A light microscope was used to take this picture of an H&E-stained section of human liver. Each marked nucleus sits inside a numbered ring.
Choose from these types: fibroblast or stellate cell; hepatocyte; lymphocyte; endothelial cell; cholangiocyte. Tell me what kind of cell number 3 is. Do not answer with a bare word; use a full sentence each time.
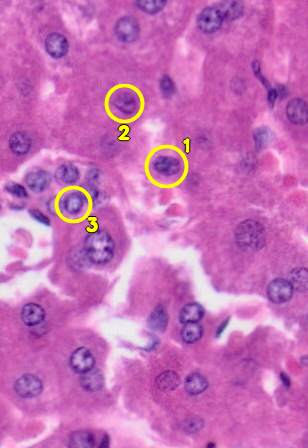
The cell bearing label 3 corresponds to a cholangiocyte.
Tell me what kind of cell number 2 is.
The cell indicated with the number 2 is classed as a hepatocyte.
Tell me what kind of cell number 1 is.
Number 1 is placed on a fibroblast or stellate cell here.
